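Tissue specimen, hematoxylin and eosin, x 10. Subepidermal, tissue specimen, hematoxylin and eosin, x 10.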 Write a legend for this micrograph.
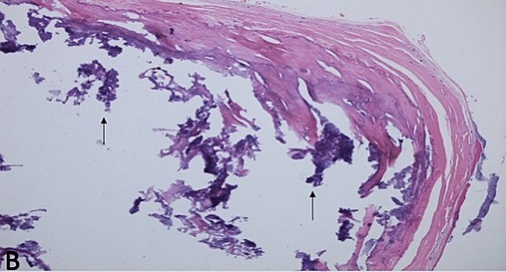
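Here the wall of a circumscribed nodule is seen, made of dense sclerotic connective tissue, with islands of basophilic calcium on its inner side. The wall is a thick, curved band of compact pink fibres laid down in wavy layers, with very few nuclei. Toward the interior, the layers split apart into loose pink strands. Dark purple clumps lie among these strands and in the open space inside the nodule.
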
